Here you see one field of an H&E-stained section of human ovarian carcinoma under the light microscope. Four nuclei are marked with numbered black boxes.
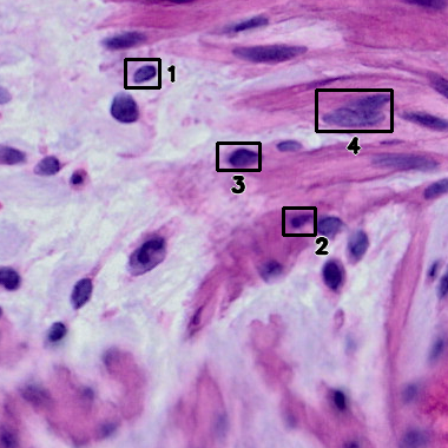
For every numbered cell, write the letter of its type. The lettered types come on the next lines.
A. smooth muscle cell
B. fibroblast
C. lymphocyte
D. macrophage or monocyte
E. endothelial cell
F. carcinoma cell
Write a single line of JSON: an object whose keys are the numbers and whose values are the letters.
{"1": "C", "2": "A", "3": "A", "4": "A"}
